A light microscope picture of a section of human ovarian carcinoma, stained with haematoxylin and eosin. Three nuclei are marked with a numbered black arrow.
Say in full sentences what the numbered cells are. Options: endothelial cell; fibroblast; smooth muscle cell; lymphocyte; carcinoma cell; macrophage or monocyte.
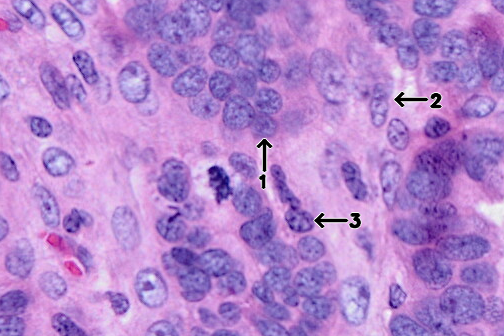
Cell 1 is a carcinoma cell. Cell 2 is a fibroblast. Cell 3 is a macrophage or monocyte.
